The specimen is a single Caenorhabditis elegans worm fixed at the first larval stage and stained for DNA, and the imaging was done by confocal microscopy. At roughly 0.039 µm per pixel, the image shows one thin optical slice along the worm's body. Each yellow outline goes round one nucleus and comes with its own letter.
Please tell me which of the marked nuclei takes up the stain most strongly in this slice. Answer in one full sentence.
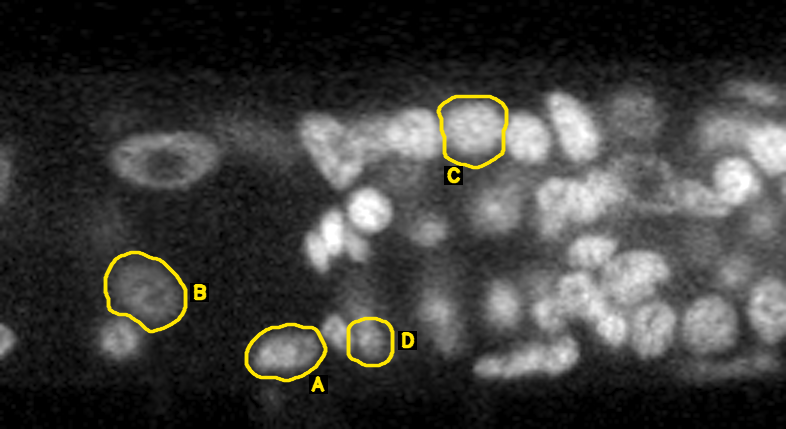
C is stained most strongly in this section.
